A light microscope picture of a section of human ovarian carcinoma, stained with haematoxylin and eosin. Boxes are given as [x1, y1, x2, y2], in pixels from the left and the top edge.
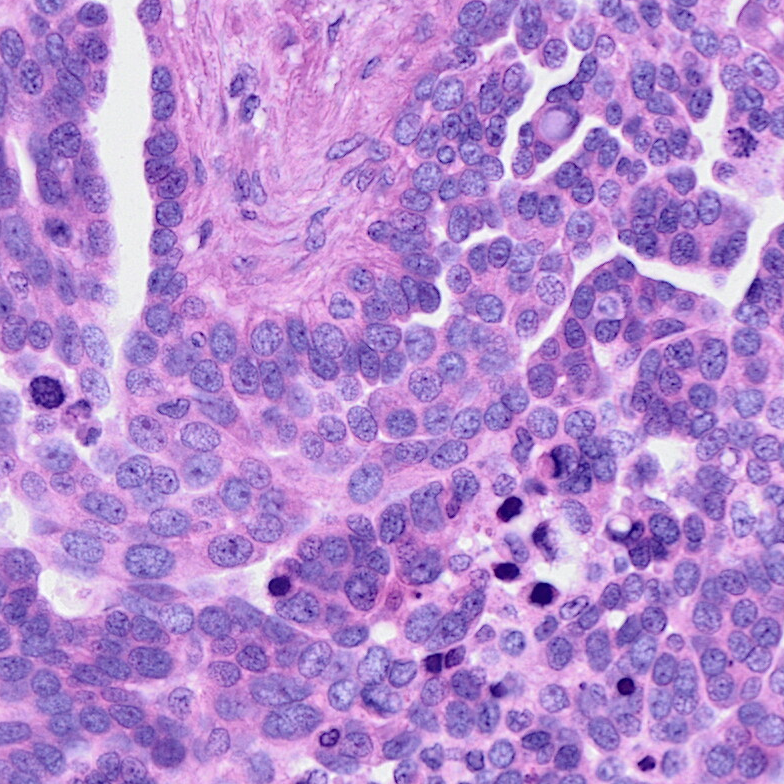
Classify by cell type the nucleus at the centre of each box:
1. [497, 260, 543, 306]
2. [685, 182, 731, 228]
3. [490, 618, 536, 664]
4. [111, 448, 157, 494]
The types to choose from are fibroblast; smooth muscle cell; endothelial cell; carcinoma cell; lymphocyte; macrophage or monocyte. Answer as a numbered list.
1. carcinoma cell
2. carcinoma cell
3. macrophage or monocyte
4. carcinoma cell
